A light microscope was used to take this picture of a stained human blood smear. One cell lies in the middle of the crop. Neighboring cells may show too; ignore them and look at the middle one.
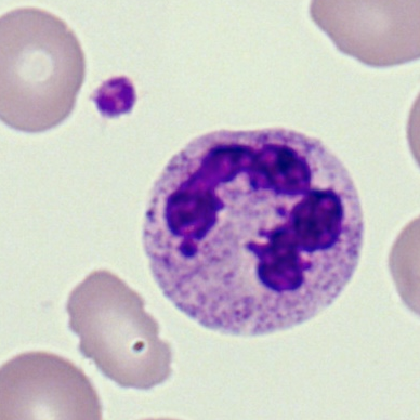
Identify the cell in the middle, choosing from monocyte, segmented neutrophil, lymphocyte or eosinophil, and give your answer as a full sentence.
Where the crop is centred, there is a segmented neutrophil.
